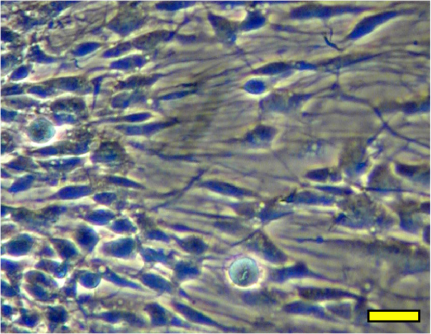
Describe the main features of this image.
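The cells lie largely parallel to one another, with oval nuclei and long, thin, tapering processes running along the same direction. A few rounded, phase-bright cells sit on top of the layer.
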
